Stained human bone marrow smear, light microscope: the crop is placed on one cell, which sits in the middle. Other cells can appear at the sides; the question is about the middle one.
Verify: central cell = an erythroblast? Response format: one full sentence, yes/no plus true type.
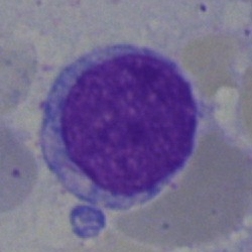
No, the central cell qualifies as a blast rather than as an erythroblast.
